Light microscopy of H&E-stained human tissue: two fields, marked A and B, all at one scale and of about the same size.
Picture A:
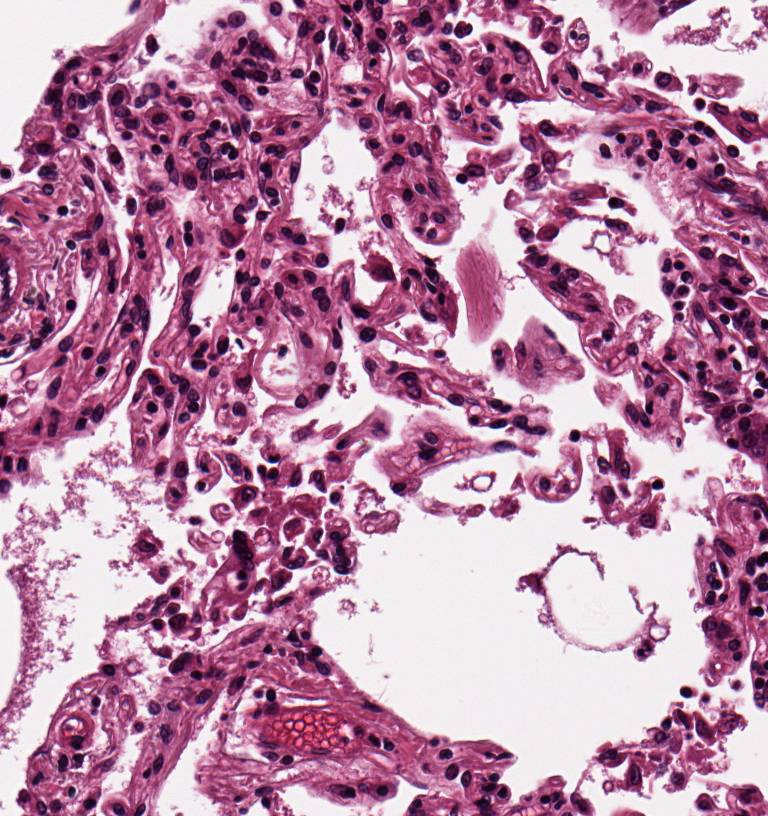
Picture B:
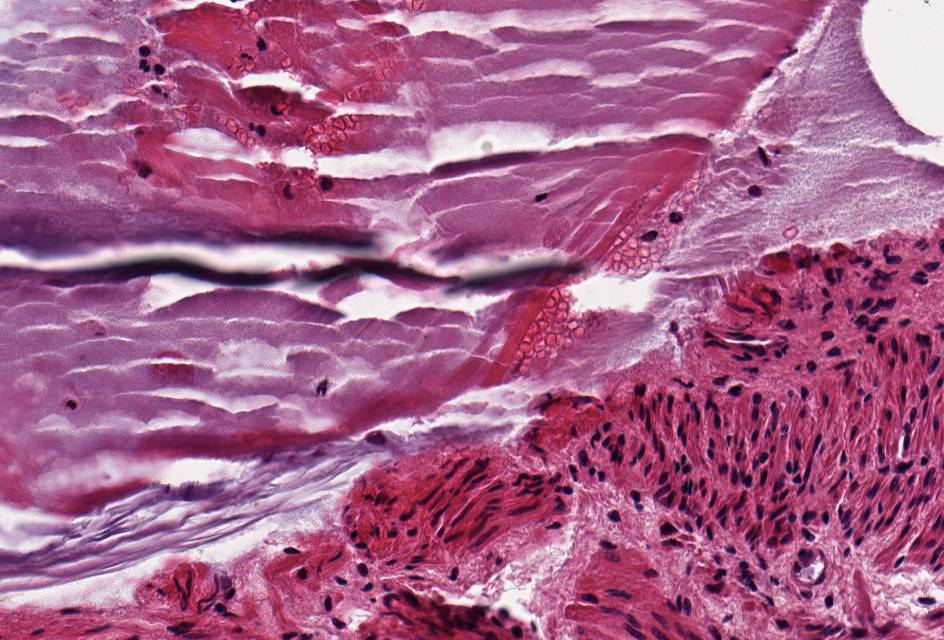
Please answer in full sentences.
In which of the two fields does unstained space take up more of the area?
More of picture A is empty and white.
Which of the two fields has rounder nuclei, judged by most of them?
It is picture A whose nuclei are the rounder.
